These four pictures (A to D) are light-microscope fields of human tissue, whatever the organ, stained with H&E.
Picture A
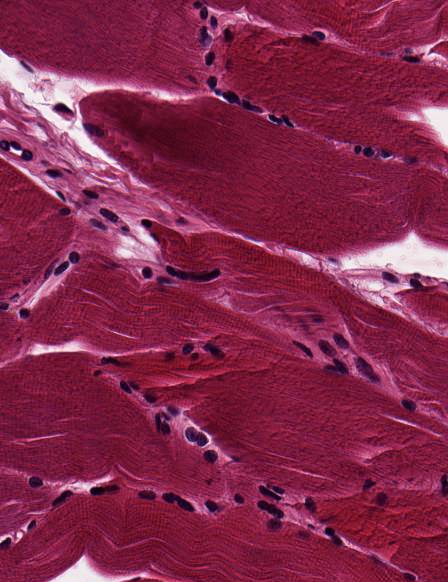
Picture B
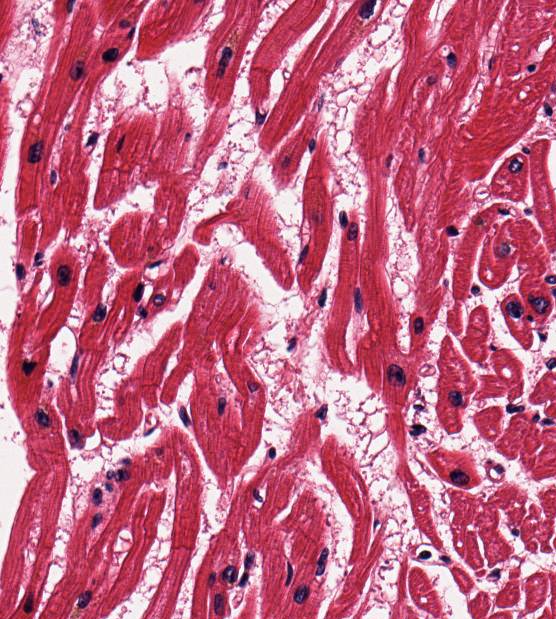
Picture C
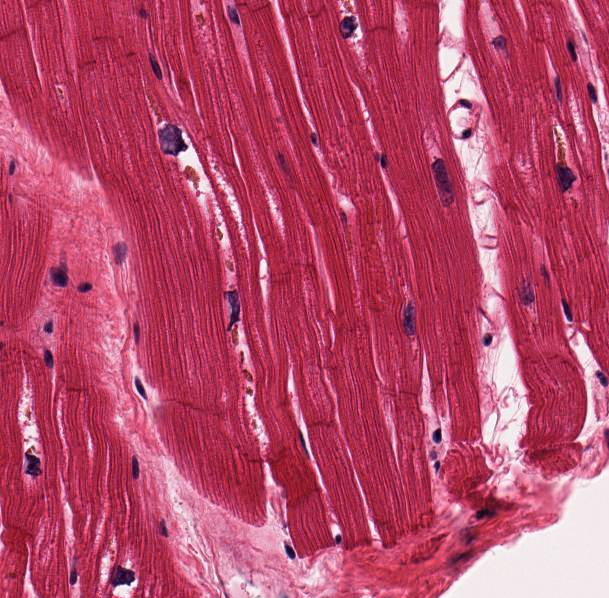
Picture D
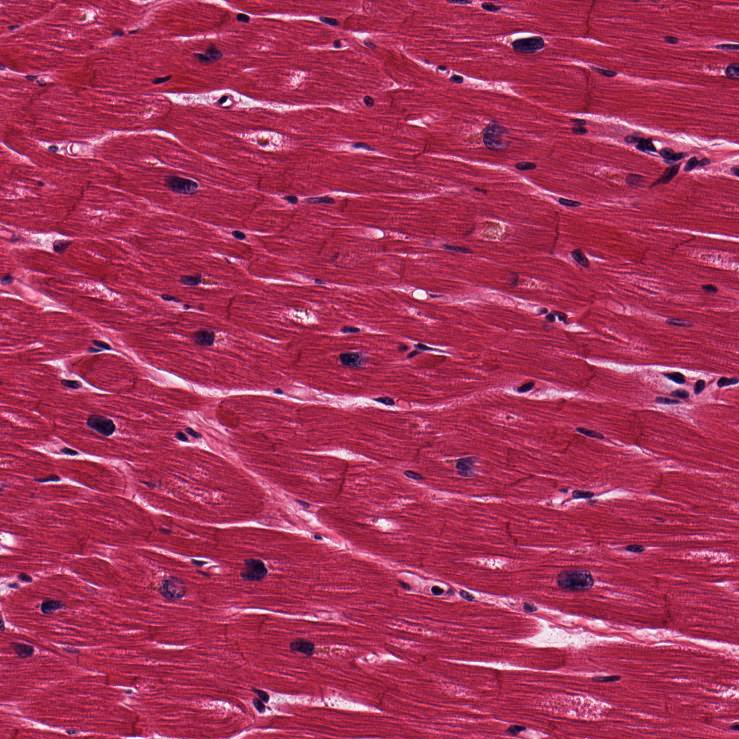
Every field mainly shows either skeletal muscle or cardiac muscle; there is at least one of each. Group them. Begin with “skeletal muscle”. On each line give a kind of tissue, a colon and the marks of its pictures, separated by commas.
skeletal muscle: A
cardiac muscle: B, C, D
